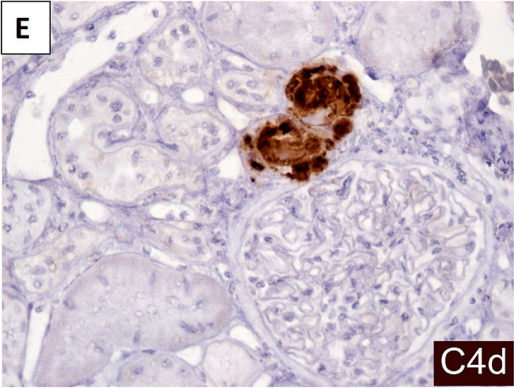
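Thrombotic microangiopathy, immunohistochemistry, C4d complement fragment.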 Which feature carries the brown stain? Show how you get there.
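Walls of arterial vessels. Dense brown stain fills a small round structure lying between tubules and beside a glomerulus-like tuft. The stain is coarse and clumped, filling both wall and centre.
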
